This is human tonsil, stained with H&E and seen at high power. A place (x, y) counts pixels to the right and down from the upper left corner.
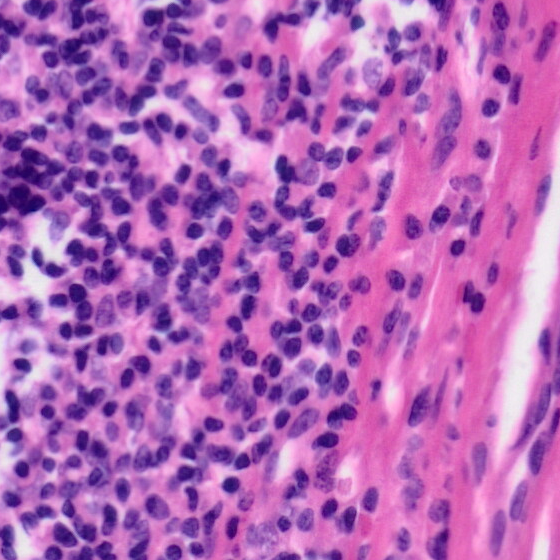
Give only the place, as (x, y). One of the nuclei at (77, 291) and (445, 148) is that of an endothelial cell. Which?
(445, 148)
